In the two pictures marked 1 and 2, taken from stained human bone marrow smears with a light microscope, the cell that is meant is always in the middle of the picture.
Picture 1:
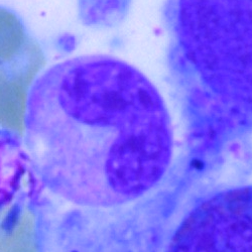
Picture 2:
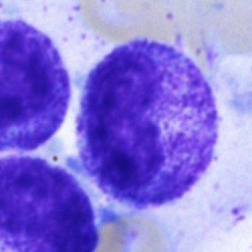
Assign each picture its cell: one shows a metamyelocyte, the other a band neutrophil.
1: band neutrophil
2: metamyelocyte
